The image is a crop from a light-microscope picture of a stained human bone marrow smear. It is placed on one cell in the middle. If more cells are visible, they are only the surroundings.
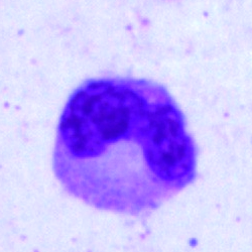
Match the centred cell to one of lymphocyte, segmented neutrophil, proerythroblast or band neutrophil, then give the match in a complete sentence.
The cell under consideration, at the middle of the crop, is a band neutrophil.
